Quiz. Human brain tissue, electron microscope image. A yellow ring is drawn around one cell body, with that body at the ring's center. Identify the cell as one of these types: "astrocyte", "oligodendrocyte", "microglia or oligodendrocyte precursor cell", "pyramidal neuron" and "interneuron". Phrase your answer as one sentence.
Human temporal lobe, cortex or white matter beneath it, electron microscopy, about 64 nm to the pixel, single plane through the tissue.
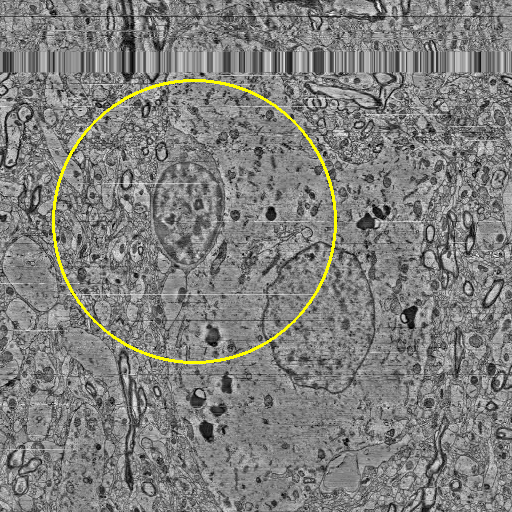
At the center of the ring sits an oligodendrocyte.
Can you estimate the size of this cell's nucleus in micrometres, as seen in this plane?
In this plane the nucleus is clearly longer than it is wide: roughly 7 by 4 micrometres.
